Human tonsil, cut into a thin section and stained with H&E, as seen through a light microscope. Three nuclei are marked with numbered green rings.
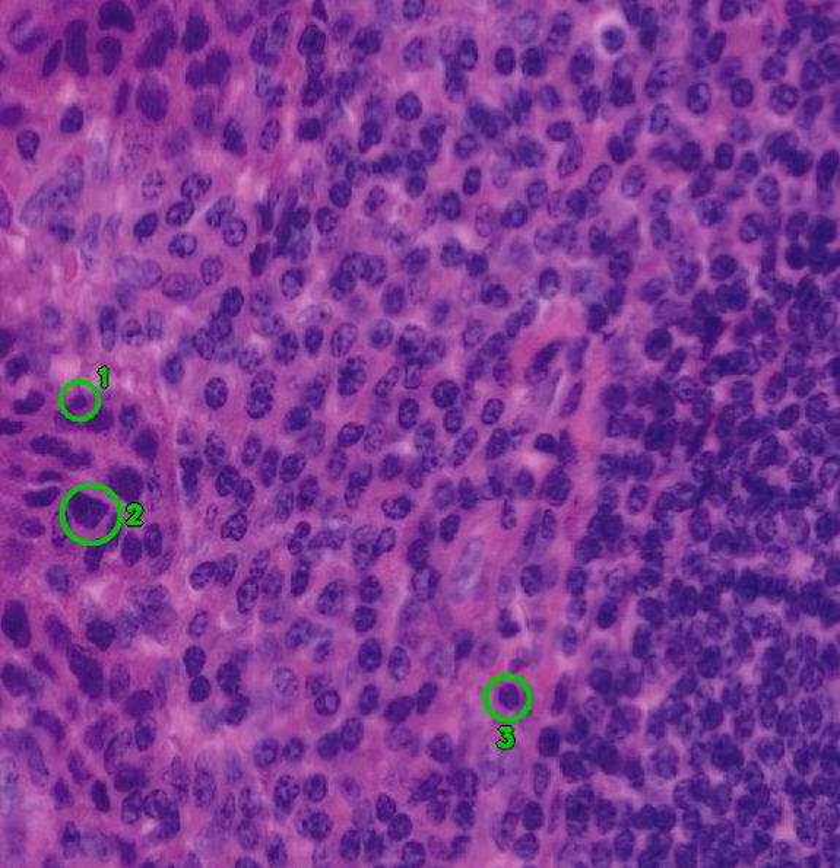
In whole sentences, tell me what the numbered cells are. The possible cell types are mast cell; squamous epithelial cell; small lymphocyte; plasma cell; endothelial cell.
Cells 1 and 2 are squamous epithelial cells. Cell 3 is an endothelial cell.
